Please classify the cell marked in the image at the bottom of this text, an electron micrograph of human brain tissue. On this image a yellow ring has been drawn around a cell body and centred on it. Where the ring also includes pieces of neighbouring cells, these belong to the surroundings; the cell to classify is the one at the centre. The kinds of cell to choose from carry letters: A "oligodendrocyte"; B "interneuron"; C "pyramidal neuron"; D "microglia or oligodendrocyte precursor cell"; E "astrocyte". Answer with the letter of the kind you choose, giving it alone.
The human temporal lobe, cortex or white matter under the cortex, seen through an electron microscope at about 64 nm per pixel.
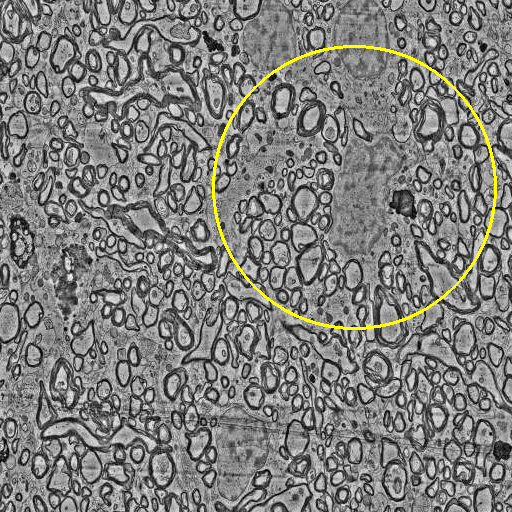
A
